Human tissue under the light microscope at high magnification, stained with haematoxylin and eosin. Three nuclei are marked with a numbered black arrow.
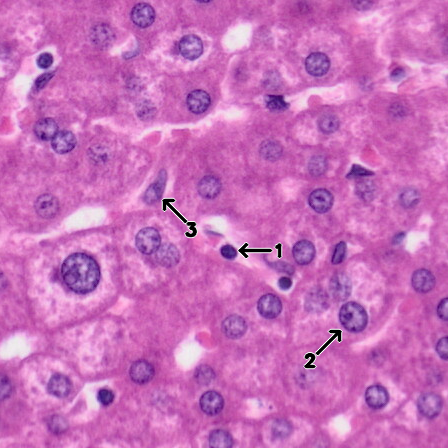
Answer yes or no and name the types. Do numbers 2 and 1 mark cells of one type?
No, cell 2 is a hepatocyte and cell 1 is a lymphocyte.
